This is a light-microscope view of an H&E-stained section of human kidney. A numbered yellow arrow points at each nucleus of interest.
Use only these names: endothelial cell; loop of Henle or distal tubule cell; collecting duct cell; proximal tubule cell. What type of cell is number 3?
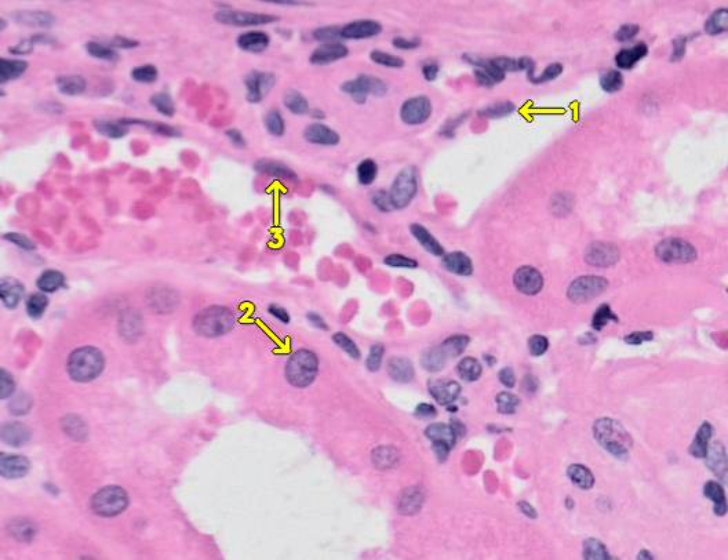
endothelial cell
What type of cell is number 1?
endothelial cell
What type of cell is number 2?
proximal tubule cell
